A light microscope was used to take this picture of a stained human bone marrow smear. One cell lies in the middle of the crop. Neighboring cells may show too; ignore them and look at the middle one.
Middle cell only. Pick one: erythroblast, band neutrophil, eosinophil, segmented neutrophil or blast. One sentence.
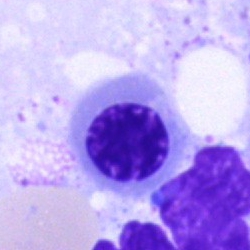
Here the centrally located cell is an erythroblast.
